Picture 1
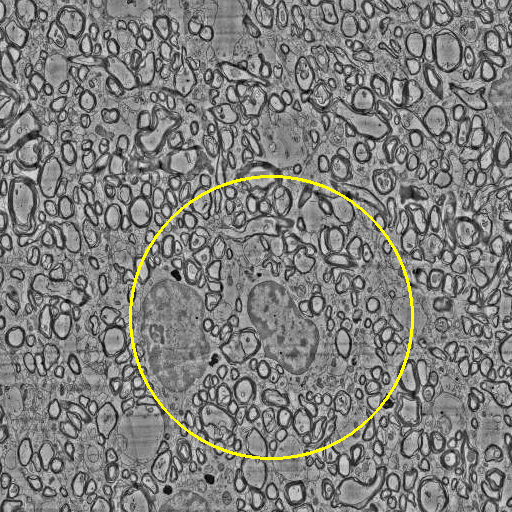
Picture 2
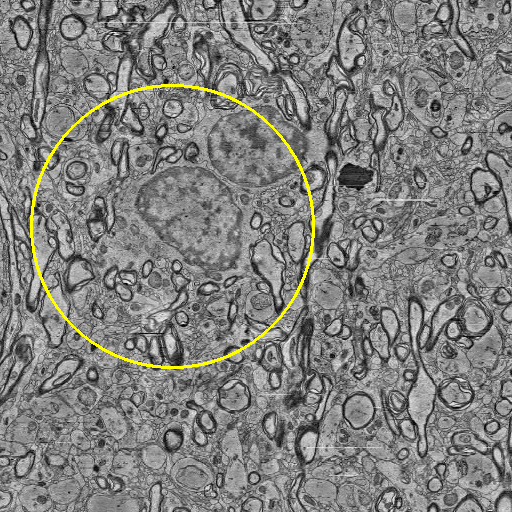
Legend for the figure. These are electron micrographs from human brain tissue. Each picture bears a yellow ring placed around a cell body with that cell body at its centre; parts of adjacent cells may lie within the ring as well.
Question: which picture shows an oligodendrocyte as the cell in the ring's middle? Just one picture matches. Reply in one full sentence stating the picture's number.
It is picture 2 whose yellow ring is centred on the requested cell.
